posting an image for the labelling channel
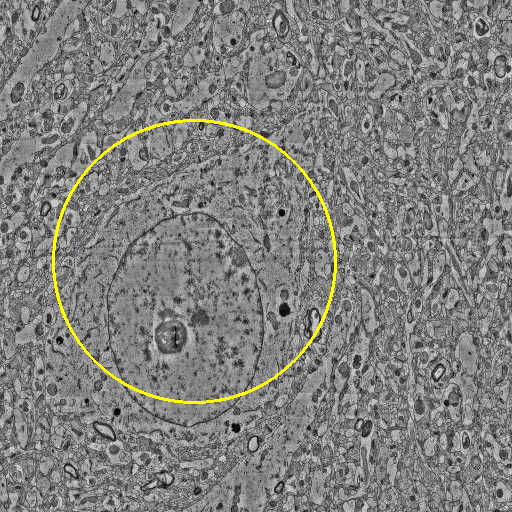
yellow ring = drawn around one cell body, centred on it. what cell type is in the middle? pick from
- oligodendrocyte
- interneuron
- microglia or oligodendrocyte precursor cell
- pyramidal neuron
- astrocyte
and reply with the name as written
pyramidal neuron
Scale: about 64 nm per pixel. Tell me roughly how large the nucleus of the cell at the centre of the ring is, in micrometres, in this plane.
Approximately 14 by 10 micrometers in this plane.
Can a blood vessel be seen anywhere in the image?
No, none appears.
